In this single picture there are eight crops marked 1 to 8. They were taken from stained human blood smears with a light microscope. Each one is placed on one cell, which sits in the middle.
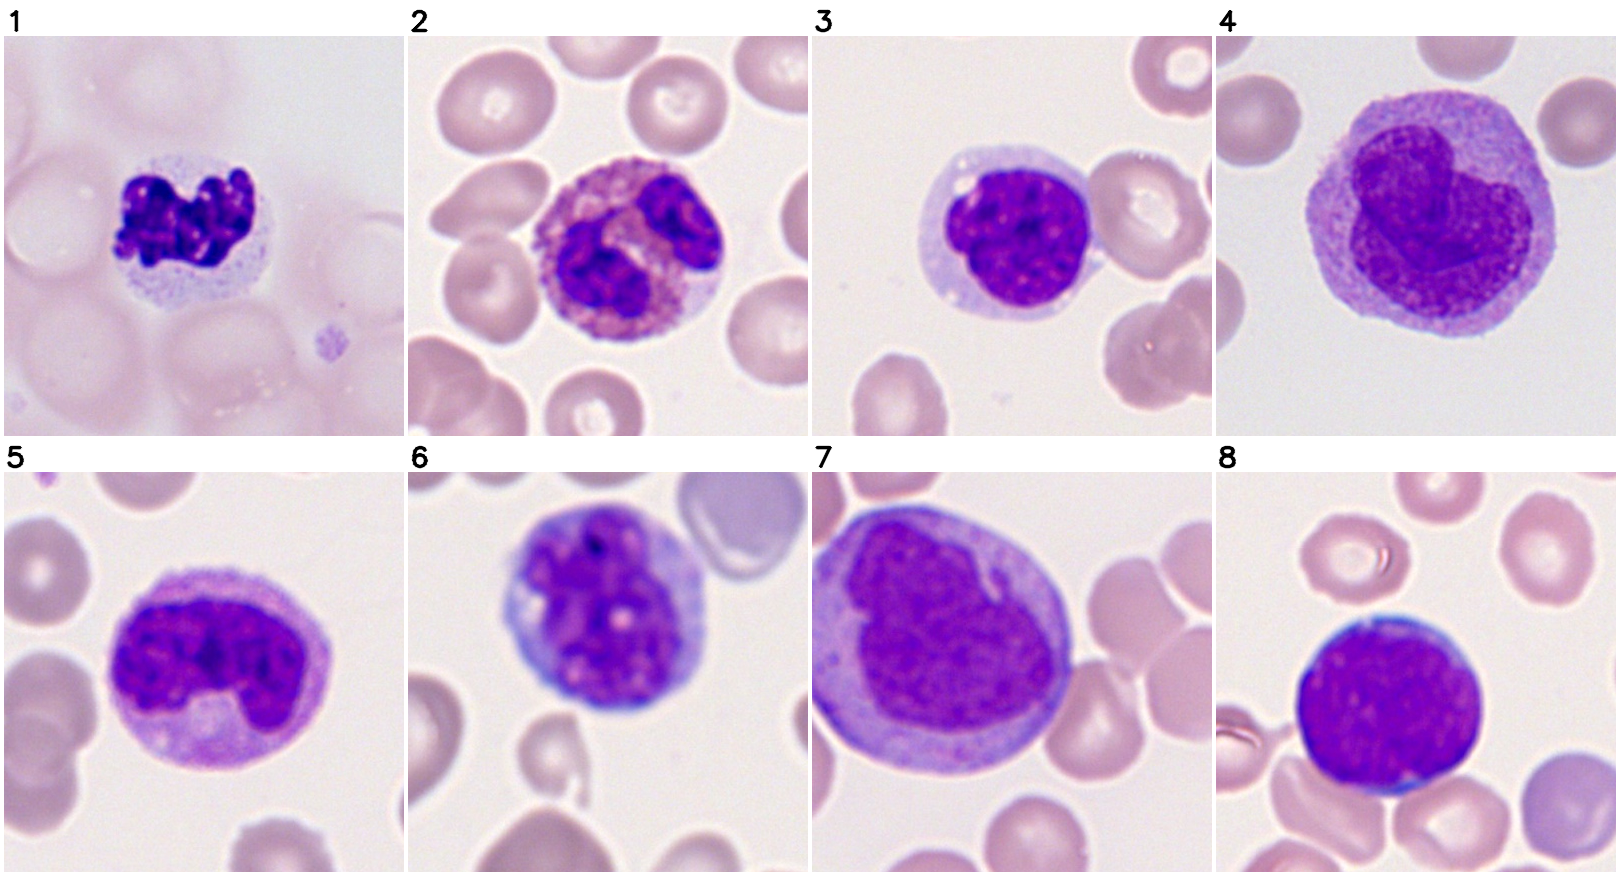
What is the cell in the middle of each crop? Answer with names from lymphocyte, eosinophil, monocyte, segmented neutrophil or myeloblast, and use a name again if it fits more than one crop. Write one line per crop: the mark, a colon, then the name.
1: segmented neutrophil
2: eosinophil
3: monocyte
4: myeloblast
5: monocyte
6: monocyte
7: monocyte
8: myeloblast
